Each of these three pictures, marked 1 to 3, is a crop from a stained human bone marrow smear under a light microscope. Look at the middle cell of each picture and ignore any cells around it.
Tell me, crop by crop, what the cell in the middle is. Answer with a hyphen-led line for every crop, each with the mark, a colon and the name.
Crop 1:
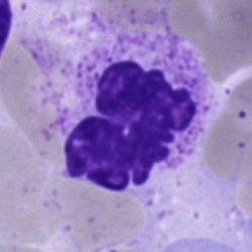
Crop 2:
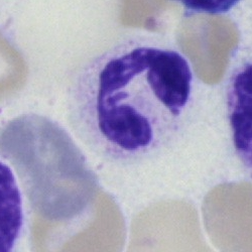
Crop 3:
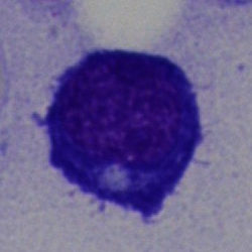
- 1: segmented neutrophil
- 2: segmented neutrophil
- 3: proerythroblast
